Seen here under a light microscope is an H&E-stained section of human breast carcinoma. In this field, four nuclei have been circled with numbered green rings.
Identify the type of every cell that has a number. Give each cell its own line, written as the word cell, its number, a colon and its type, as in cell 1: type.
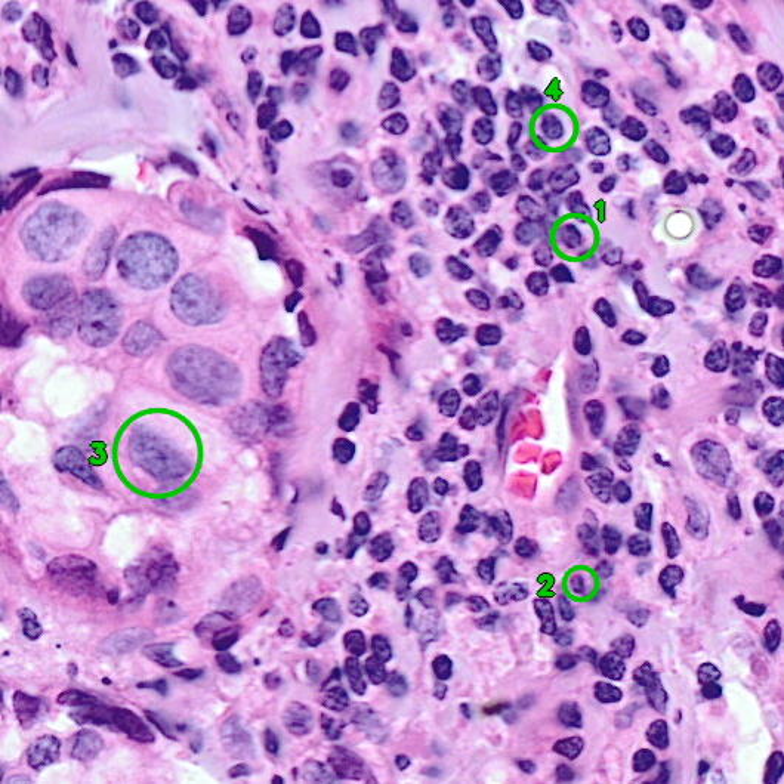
cell 1: lymphocyte
cell 2: lymphocyte
cell 3: carcinoma cell
cell 4: lymphocyte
